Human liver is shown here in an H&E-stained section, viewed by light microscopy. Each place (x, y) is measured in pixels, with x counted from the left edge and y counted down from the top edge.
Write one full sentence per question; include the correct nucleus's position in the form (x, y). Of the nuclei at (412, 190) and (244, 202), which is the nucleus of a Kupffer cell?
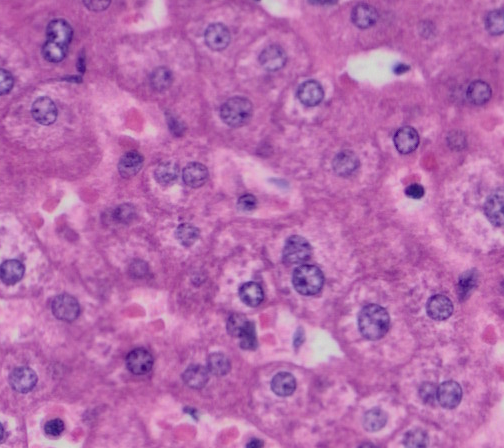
Answering which nucleus it is: the one at (244, 202), belonging to a Kupffer cell.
